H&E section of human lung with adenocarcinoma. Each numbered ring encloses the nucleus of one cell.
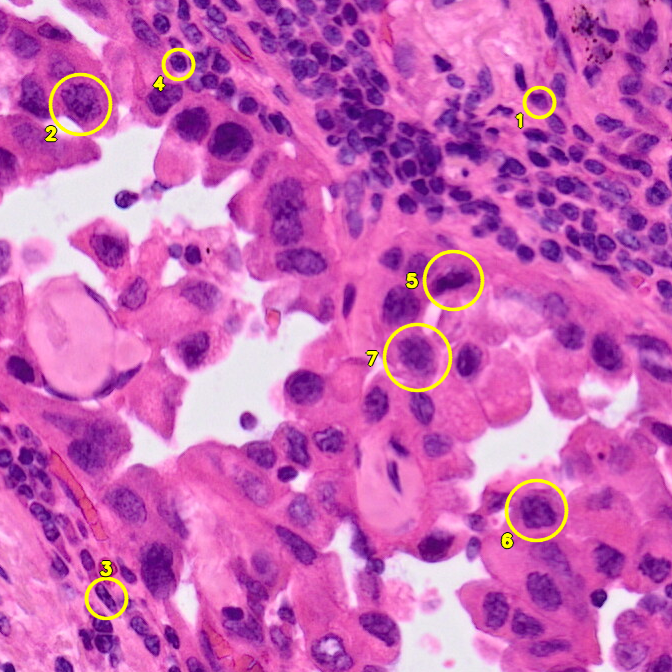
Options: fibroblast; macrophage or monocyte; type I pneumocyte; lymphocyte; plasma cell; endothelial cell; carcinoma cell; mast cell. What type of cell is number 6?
carcinoma cell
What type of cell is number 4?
lymphocyte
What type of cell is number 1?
plasma cell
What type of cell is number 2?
carcinoma cell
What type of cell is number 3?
plasma cell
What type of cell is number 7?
carcinoma cell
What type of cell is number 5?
carcinoma cell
